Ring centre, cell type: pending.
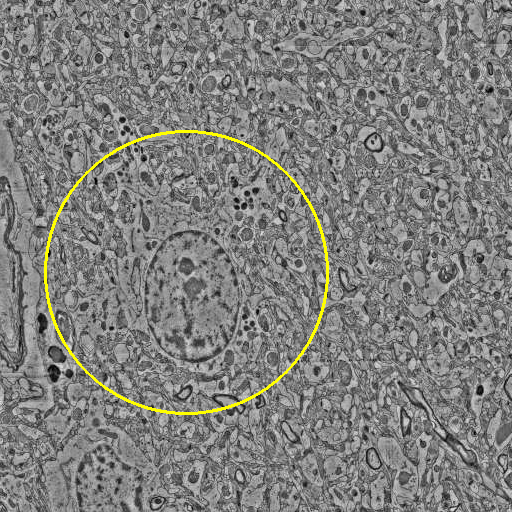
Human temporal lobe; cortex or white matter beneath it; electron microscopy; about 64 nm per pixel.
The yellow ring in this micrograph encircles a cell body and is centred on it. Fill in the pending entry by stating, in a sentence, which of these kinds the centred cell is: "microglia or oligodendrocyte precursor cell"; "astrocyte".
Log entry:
The centred cell is recorded as an astrocyte.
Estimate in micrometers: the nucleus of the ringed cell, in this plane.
The nucleus of the ringed cell is approximately 8 by 6 micrometres in this plane.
